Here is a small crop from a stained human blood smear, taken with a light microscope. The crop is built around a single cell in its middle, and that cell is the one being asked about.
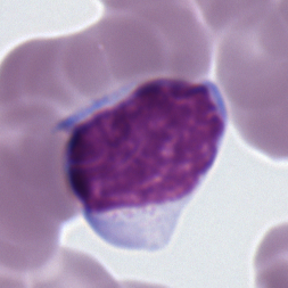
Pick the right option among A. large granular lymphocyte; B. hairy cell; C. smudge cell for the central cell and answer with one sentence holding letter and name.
Option A stands as correct, the central cell being a large granular lymphocyte.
